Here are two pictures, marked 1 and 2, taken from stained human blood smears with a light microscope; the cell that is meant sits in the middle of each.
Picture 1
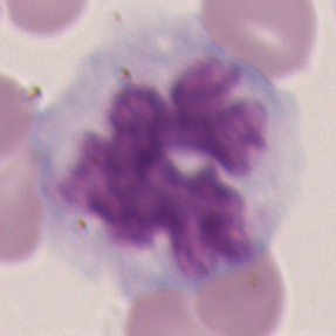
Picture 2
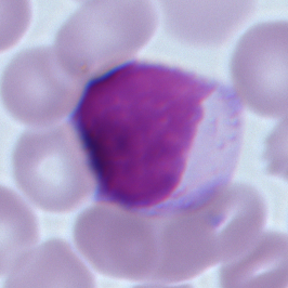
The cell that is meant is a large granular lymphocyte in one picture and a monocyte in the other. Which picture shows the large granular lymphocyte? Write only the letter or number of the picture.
2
